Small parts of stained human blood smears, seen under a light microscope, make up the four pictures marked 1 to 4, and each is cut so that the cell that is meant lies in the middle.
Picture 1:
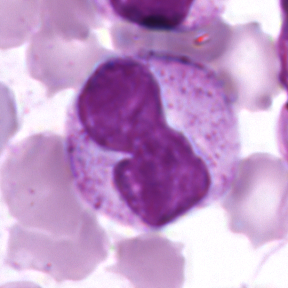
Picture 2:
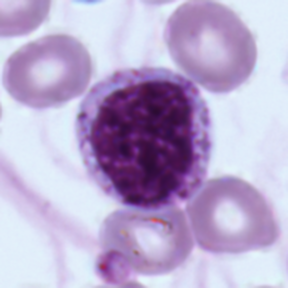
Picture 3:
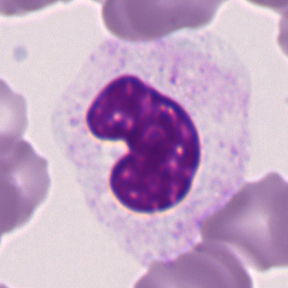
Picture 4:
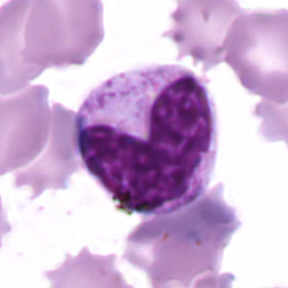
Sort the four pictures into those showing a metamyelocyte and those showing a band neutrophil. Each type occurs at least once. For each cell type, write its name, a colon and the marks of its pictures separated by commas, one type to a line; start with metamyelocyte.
metamyelocyte: 2
band neutrophil: 1, 3, 4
